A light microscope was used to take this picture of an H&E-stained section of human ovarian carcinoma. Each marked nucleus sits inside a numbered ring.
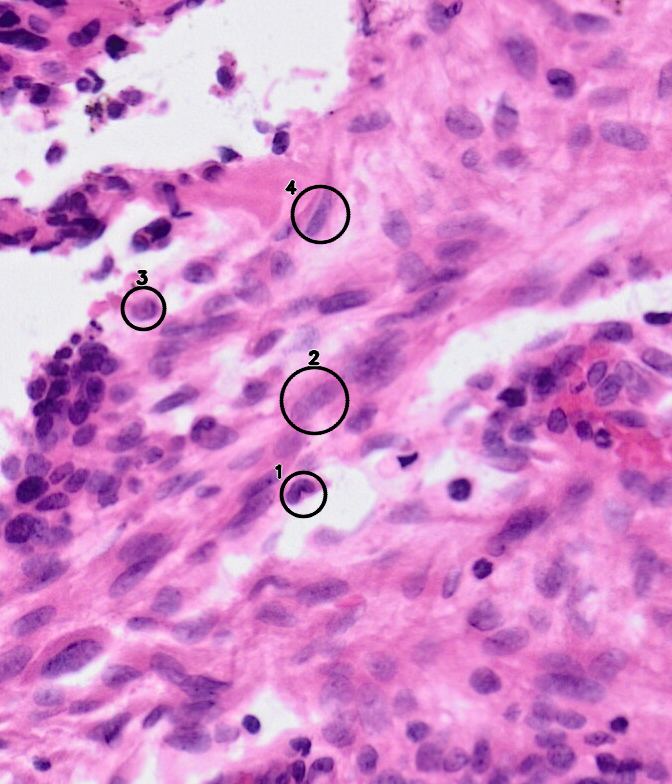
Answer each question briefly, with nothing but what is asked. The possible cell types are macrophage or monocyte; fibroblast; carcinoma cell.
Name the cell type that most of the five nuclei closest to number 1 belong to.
fibroblast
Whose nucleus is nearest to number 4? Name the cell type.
fibroblast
